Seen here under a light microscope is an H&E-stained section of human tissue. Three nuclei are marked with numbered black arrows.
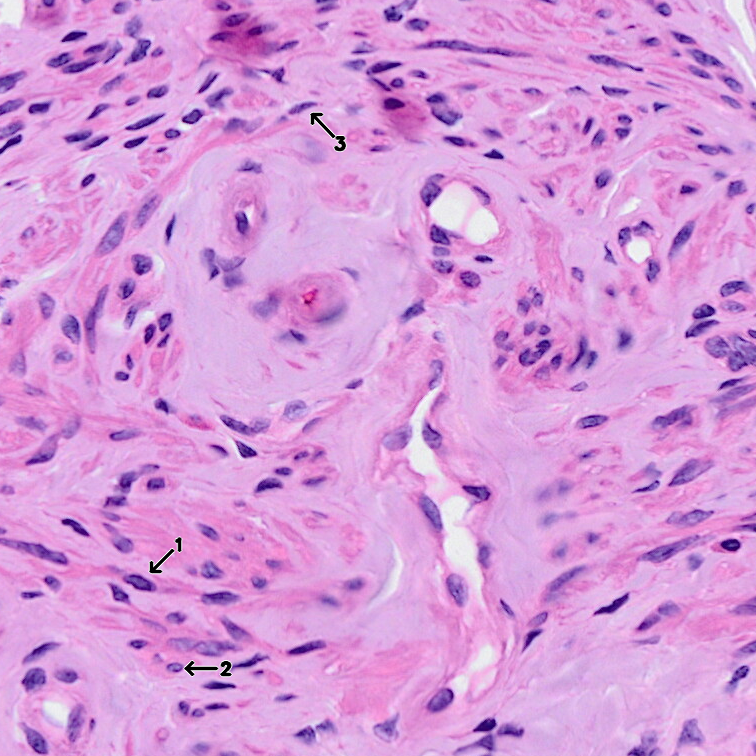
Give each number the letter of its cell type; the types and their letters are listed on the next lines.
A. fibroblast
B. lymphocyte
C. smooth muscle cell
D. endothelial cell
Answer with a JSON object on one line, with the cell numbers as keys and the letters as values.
{"1": "C", "2": "C", "3": "A"}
